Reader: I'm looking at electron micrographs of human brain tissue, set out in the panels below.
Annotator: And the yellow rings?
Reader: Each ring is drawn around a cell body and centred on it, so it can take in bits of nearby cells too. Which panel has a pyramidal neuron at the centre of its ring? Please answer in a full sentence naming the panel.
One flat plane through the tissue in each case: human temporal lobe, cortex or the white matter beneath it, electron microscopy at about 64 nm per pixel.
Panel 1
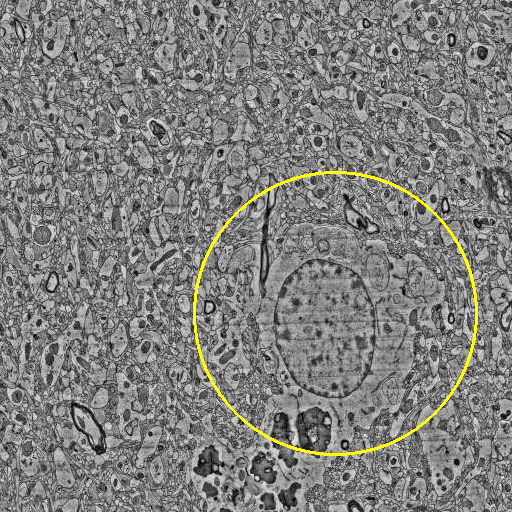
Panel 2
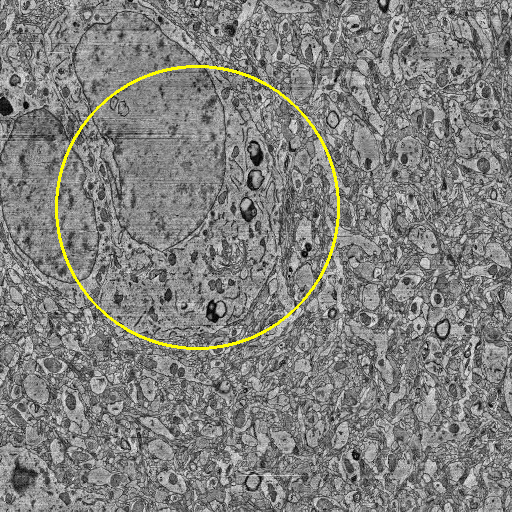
Panel 2 has it at the centre of its ring.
